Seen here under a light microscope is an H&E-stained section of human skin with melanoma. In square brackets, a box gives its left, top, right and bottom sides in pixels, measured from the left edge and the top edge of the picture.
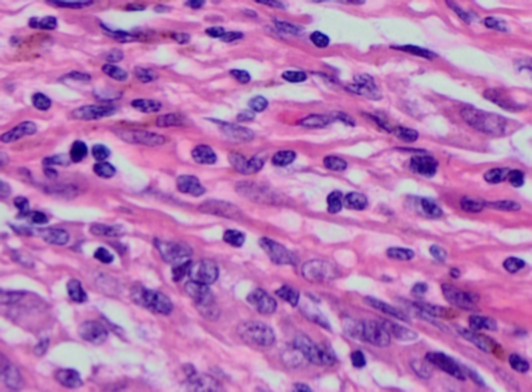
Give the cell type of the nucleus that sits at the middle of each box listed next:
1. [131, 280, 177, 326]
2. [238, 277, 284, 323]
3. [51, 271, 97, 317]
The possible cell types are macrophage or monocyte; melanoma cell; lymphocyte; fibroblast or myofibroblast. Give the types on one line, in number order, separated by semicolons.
melanoma cell; melanoma cell; lymphocyte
